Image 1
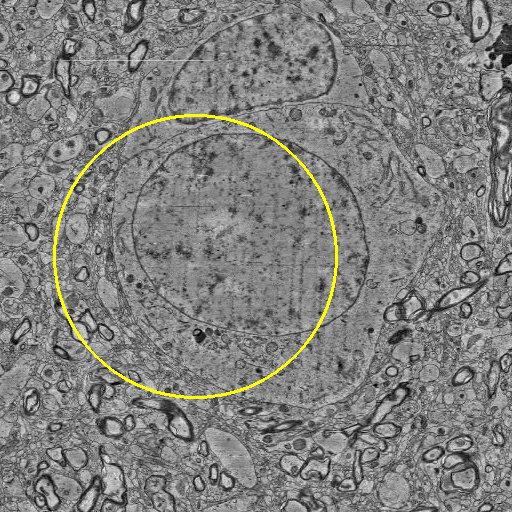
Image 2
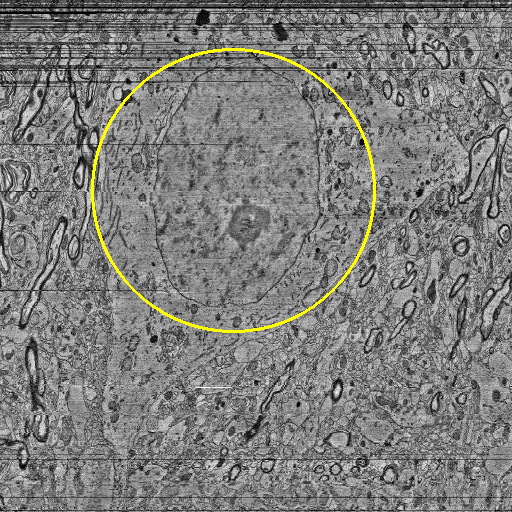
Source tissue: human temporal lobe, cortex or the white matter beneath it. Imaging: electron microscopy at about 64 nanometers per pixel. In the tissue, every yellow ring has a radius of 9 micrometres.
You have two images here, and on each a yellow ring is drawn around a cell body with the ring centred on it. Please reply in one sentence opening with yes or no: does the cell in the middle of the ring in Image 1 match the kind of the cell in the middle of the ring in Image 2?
Yes, the two images show cells of one kind at the centres of their rings.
